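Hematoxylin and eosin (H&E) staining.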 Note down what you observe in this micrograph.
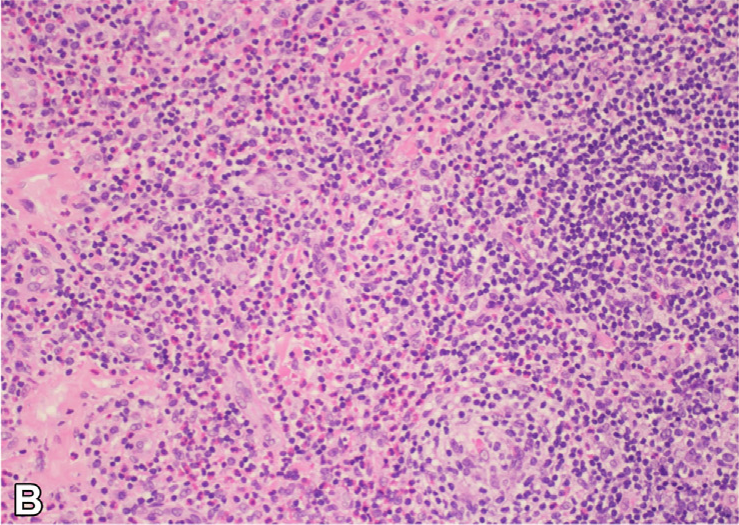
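A dense lymphoid infiltrate mixed with numerous eosinophils. Most cells are small lymphocytes with round, dark purple nuclei and scant cytoplasm, packed most densely toward the right. Interspersed throughout are many cells with bright pink-red cytoplasm, some with lobed nuclei. Pale pink strands of stroma with elongated nuclei run through the left part of the field.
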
